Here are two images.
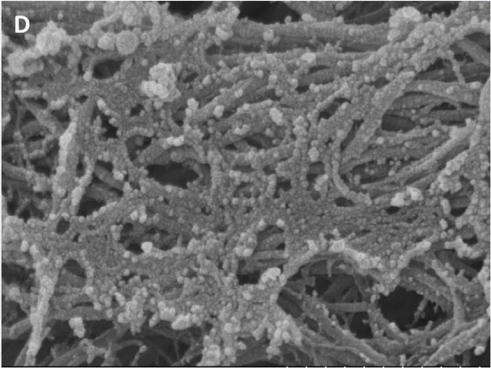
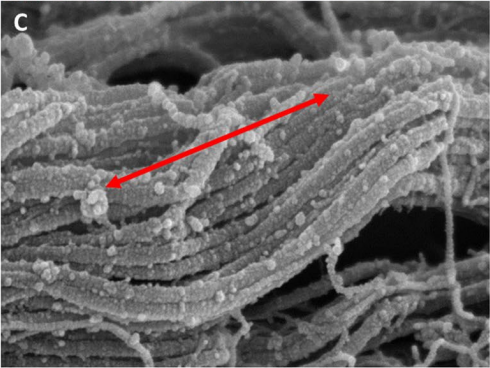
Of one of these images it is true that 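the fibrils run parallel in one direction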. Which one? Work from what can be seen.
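The second image. First image: fibrils cross in many directions as a tangled meshwork. Second image: fibrils lie side by side in aligned, wavy bundles.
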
